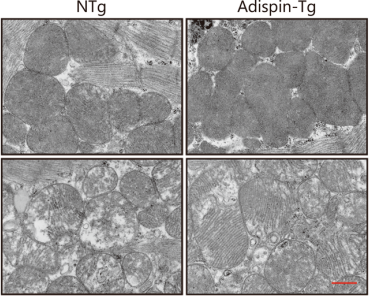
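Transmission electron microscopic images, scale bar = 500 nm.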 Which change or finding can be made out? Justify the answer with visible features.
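Disorganized cristae. In one of the four images many organelles have pale interiors with sparse, fragmented internal folds.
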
